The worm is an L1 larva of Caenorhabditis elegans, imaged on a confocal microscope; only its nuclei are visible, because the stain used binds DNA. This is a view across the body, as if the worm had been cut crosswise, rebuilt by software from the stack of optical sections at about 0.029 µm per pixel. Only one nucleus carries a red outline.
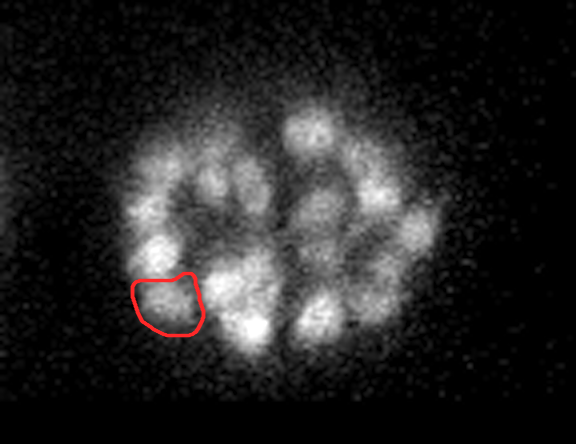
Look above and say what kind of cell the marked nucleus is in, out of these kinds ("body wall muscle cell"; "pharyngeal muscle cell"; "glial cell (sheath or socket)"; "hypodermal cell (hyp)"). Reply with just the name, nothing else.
body wall muscle cell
